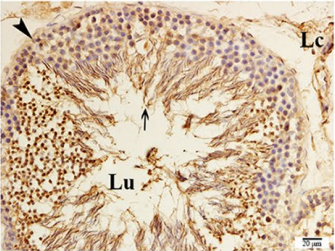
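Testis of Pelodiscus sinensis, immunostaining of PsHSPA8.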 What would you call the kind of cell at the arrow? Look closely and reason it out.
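Long slender brown-stained threads radiate into the open central lumen. So: spermatozoa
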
